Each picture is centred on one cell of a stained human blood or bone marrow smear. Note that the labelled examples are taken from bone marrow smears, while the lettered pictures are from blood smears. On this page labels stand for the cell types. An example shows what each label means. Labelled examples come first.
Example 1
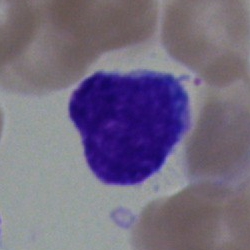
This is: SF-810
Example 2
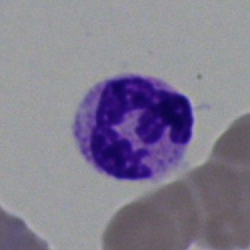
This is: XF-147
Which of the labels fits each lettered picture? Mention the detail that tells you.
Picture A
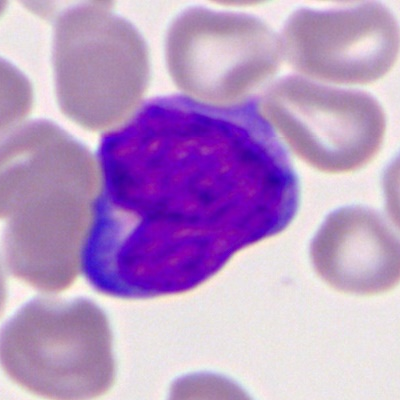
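Answer: SF-810. The nucleus fills most of the cell.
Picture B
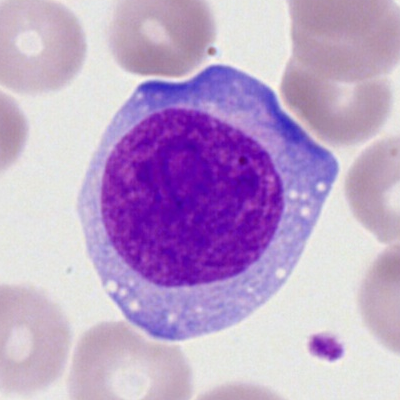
Answer: SF-810. The cytoplasm is blue, and it is deepest blue along the upper edge of the cell.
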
